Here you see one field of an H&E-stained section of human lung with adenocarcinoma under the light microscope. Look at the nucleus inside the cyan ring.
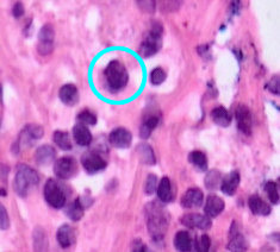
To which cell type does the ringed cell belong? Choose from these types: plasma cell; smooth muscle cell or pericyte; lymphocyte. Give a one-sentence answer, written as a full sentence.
So far as cell type goes, the ringed cell is a lymphocyte.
